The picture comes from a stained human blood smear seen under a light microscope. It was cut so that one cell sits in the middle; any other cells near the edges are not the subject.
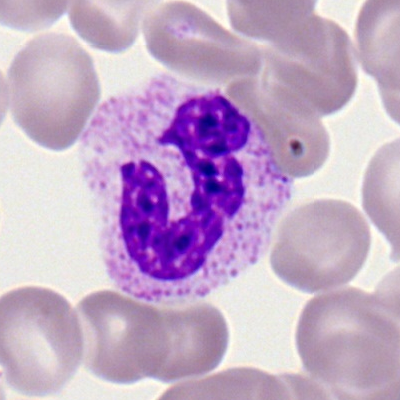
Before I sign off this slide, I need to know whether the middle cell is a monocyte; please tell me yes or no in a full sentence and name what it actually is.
No, the cell in the centre is a band neutrophil instead of a monocyte.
